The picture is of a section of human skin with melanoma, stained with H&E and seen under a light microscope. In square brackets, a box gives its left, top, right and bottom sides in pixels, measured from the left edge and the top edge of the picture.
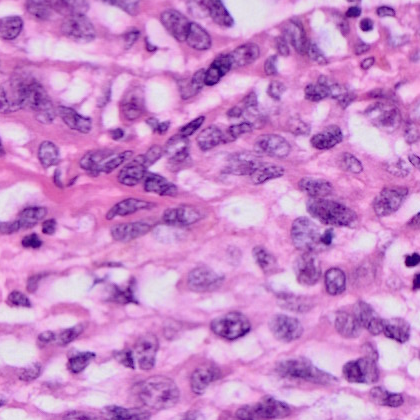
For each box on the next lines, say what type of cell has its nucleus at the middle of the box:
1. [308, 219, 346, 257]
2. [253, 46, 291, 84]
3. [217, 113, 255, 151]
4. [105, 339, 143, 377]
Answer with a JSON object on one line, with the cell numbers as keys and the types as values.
{"1": "lymphocyte", "2": "melanoma cell", "3": "melanoma cell", "4": "melanoma cell"}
